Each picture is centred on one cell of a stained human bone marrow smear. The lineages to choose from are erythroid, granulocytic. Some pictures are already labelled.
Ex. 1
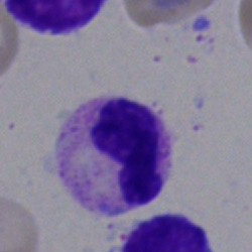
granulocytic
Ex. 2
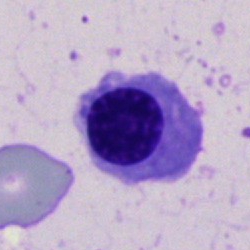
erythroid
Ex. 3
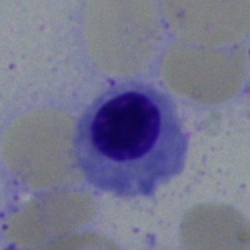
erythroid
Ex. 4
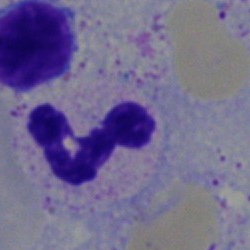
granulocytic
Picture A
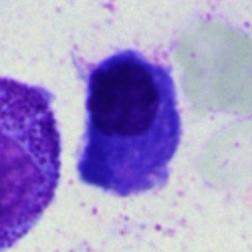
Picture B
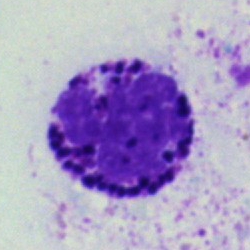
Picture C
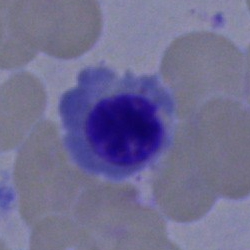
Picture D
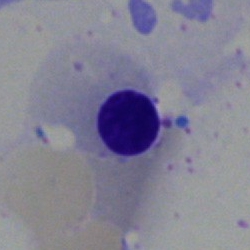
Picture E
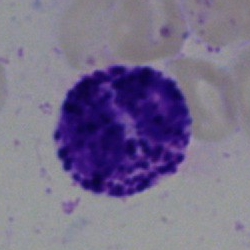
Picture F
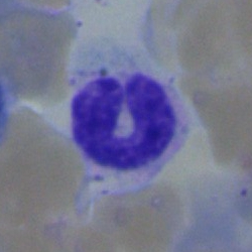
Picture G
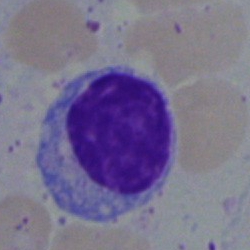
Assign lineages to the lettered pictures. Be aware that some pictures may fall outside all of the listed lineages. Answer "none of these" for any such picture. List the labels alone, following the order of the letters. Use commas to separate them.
none of these, granulocytic, erythroid, erythroid, granulocytic, granulocytic, none of these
